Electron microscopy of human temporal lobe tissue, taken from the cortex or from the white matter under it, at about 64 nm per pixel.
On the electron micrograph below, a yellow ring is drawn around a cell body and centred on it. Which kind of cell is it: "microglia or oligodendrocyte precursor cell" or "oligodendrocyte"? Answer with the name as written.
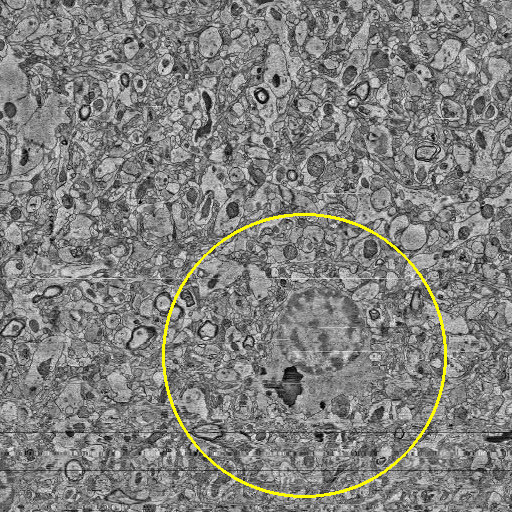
oligodendrocyte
